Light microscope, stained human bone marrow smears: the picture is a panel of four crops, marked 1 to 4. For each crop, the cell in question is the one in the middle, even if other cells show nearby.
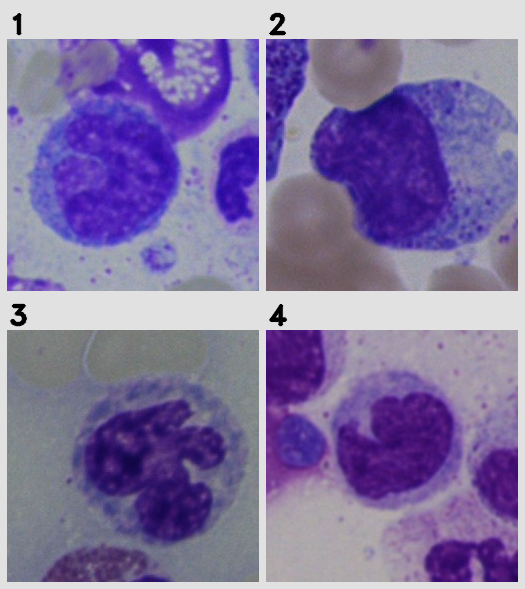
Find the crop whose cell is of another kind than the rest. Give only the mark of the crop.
2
